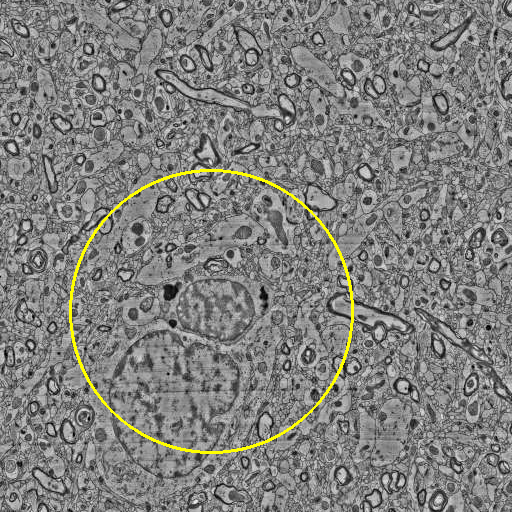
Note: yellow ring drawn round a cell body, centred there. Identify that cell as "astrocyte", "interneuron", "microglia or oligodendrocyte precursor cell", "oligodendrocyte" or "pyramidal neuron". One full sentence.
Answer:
The cell in the middle of the ring is an oligodendrocyte.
